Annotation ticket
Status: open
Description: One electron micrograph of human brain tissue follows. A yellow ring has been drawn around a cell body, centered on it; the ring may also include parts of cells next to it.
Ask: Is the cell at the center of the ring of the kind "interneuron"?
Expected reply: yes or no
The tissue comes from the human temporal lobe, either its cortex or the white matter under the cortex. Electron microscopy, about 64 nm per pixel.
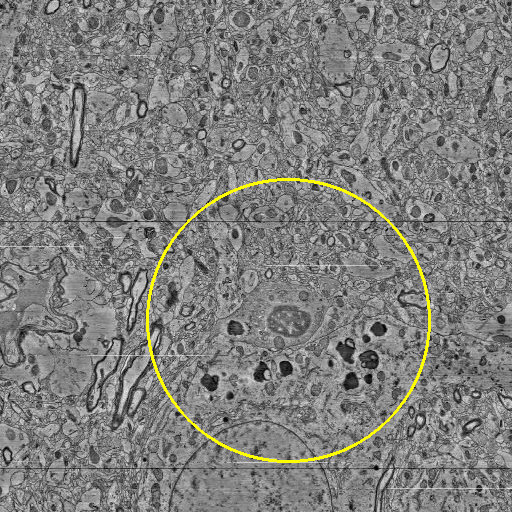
no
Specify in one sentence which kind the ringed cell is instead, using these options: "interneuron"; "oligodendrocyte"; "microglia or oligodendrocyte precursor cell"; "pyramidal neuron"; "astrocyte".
Instead, the ring in this picture marks an oligodendrocyte.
